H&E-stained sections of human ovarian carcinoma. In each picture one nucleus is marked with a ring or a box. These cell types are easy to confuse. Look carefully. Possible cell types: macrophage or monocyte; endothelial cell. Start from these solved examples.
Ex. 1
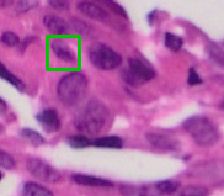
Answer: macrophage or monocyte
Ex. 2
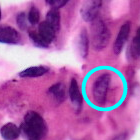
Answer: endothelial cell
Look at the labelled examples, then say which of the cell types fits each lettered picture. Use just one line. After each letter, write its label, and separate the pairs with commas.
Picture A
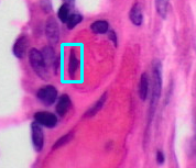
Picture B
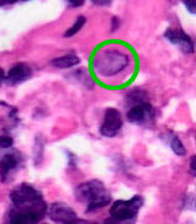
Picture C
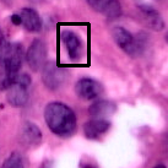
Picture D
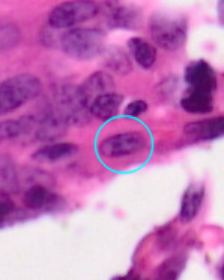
A endothelial cell, B endothelial cell, C macrophage or monocyte, D endothelial cell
